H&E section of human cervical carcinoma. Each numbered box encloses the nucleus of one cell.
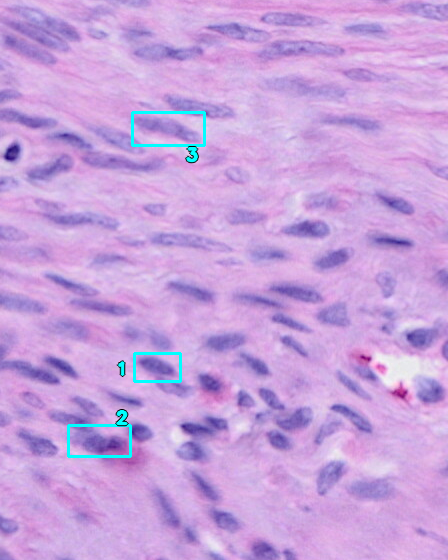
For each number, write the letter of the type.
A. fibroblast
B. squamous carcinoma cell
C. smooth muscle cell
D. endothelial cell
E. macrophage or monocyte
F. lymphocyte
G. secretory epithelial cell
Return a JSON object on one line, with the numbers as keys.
{"1": "A", "2": "A", "3": "C"}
